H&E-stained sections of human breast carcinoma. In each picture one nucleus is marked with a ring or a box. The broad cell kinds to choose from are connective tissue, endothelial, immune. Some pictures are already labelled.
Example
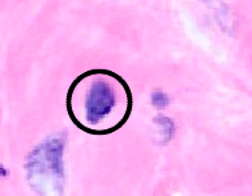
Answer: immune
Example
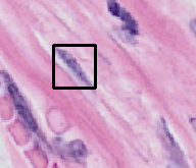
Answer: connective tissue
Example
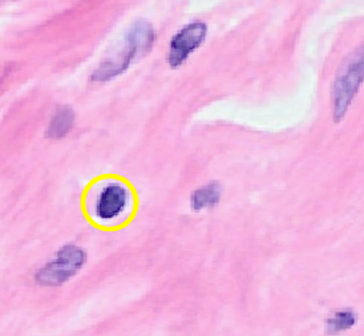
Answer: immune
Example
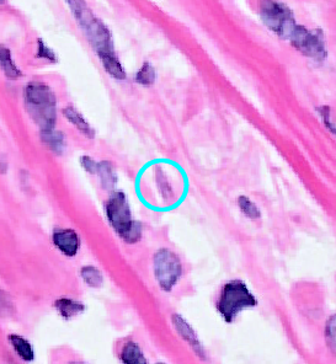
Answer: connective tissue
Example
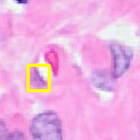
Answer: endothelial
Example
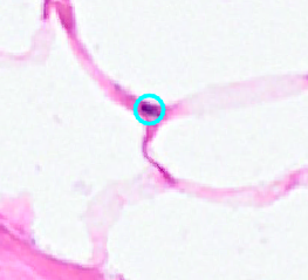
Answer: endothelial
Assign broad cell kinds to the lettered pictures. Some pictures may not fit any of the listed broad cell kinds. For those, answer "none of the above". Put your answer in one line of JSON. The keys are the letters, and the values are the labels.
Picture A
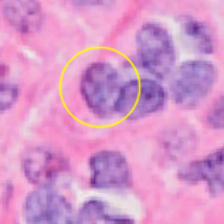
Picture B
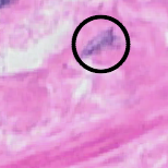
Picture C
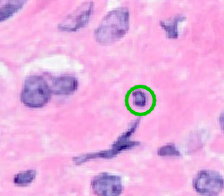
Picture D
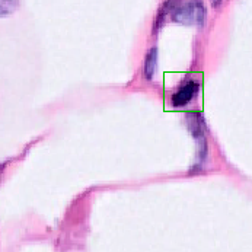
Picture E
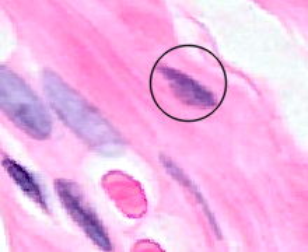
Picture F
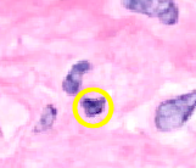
{"A": "none of the above", "B": "connective tissue", "C": "endothelial", "D": "endothelial", "E": "connective tissue", "F": "immune"}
